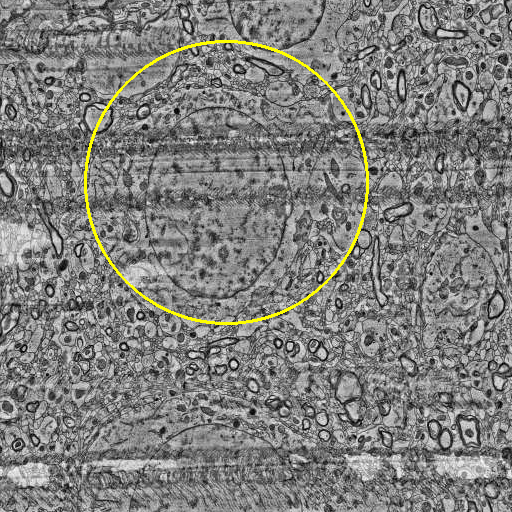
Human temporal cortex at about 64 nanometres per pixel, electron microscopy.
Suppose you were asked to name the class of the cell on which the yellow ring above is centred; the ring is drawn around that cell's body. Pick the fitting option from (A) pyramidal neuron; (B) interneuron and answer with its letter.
A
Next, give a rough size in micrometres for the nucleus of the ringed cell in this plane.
Approximately 12 by 10 micrometers in this plane.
